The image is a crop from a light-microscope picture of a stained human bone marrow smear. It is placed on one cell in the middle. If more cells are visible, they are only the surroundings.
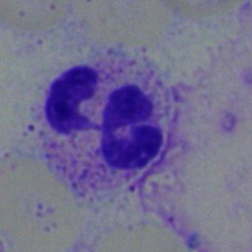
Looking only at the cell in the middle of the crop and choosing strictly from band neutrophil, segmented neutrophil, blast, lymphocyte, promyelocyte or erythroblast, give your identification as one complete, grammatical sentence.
Located at the centre of the crop is a segmented neutrophil.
